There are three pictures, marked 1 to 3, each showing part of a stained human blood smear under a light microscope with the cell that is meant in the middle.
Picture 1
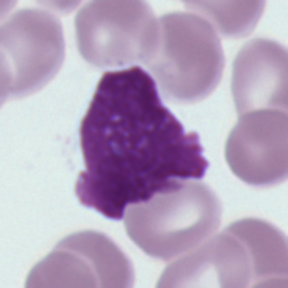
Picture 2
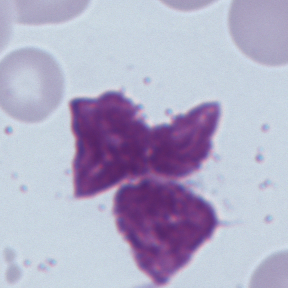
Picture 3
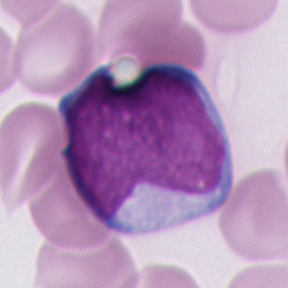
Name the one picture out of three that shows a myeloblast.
3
